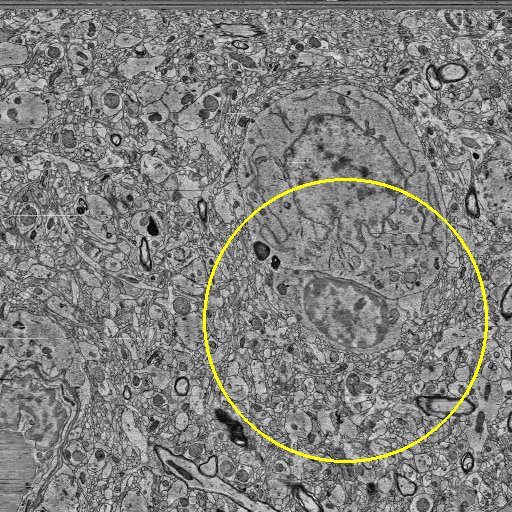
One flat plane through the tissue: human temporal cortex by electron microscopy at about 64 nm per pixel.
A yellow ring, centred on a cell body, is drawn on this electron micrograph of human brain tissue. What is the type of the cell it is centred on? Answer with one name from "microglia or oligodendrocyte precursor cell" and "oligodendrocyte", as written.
oligodendrocyte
